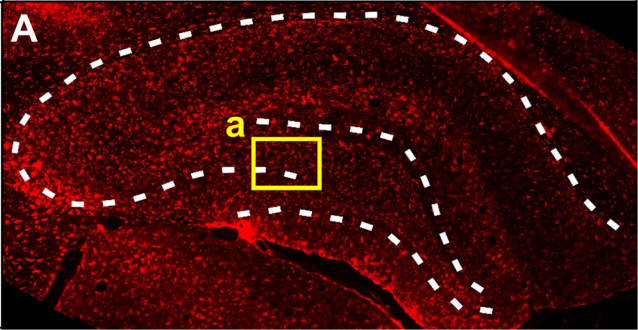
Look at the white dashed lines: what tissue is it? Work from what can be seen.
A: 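The dashed lines trace a curved, C-shaped band of brain tissue. A second inner dashed line follows a curved fold within the outlined region. That points to this answer: hippocampus.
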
